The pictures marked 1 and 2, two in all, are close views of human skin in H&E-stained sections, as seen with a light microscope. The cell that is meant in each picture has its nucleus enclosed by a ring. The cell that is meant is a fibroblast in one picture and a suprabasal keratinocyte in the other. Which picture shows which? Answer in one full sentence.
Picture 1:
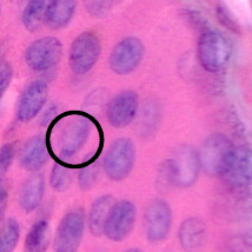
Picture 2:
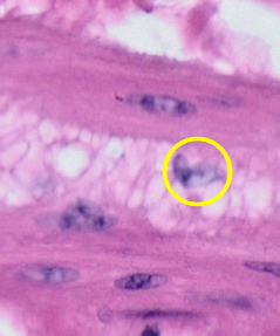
Picture 2 shows a fibroblast, while picture 1 shows a suprabasal keratinocyte.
